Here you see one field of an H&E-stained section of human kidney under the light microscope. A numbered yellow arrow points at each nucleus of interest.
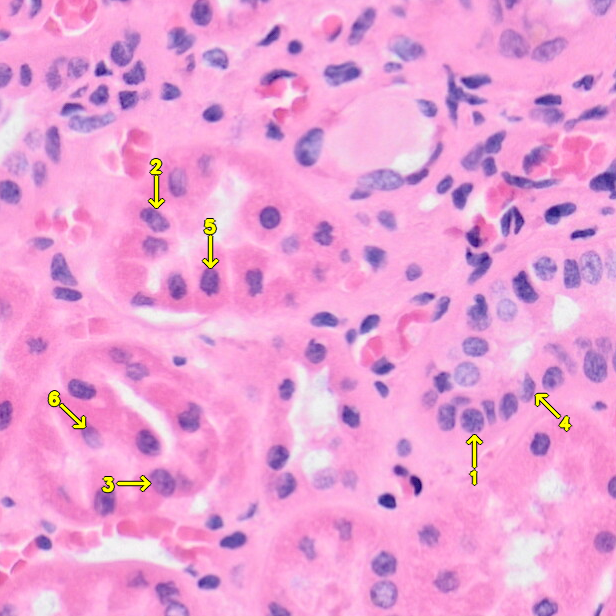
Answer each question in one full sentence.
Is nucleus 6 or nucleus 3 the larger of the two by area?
Number 3 is larger; its area is about 1.5 times that of number 6.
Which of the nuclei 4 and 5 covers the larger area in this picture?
At about 1.5 times the area of nucleus 4, nucleus 5 is the larger of the two.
